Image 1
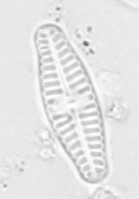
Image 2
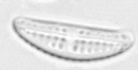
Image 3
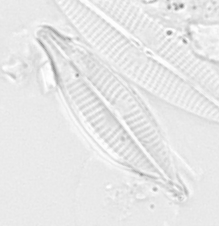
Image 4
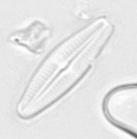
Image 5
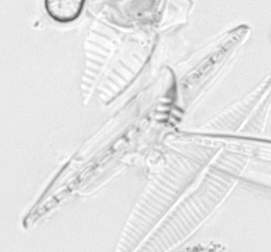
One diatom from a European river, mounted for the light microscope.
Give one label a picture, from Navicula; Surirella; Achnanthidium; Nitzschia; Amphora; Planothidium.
Picture 1: Planothidium
Picture 2: Amphora
Picture 3: Navicula
Picture 4: Achnanthidium
Picture 5: Nitzschia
